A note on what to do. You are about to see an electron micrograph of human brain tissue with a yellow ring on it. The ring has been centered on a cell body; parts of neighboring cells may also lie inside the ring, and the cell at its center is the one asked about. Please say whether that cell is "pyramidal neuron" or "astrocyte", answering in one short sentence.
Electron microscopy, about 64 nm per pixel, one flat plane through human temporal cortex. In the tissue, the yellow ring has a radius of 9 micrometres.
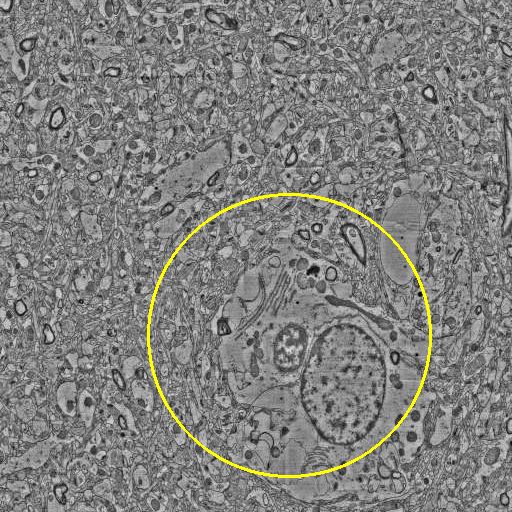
The yellow ring sits on an astrocyte.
